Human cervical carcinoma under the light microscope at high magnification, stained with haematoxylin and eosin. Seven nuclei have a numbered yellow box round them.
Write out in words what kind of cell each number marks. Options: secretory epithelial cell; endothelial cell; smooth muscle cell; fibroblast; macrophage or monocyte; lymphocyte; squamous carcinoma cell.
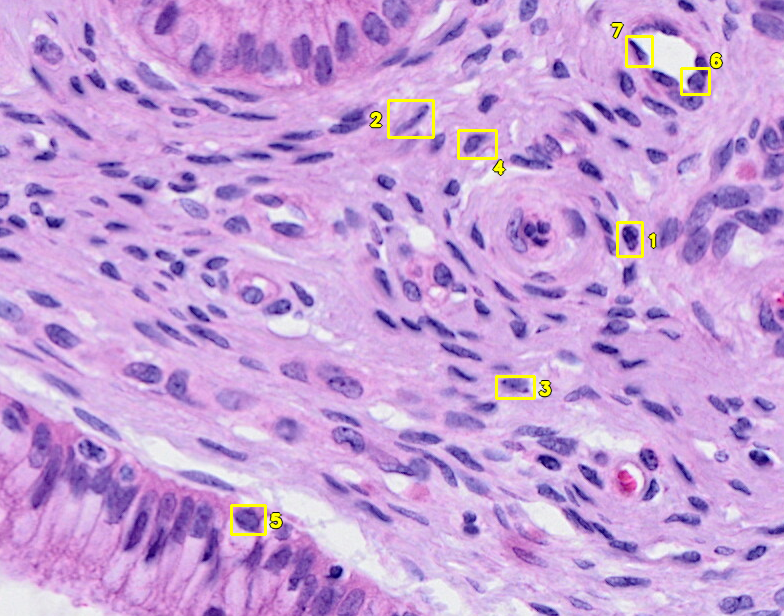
Cell 1 is a lymphocyte. Cells 2, 3 and 4 are fibroblasts. Cell 5 is a secretory epithelial cell. Cells 6 and 7 are endothelial cells.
